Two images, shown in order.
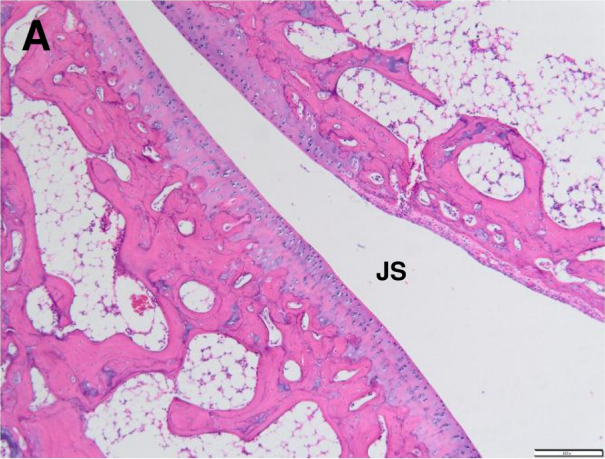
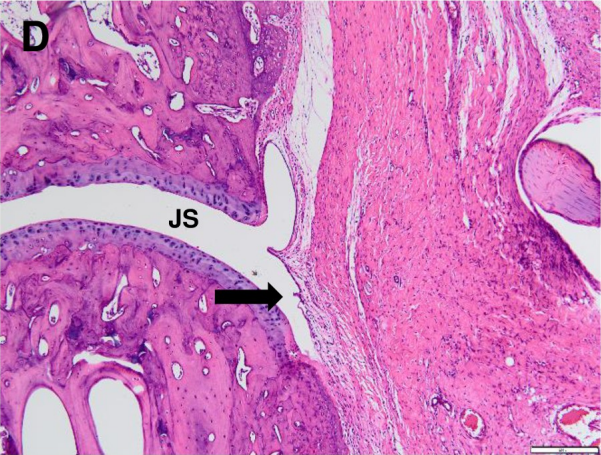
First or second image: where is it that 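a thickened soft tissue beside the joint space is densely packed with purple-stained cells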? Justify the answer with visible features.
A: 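Second image: a wide band of soft tissue at the right edge of the joint space is thickly studded with small dark purple nuclei. First image: only a thin layer of loose tissue borders the joint space, without a dense cellular band.
Conclusion: the second image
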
